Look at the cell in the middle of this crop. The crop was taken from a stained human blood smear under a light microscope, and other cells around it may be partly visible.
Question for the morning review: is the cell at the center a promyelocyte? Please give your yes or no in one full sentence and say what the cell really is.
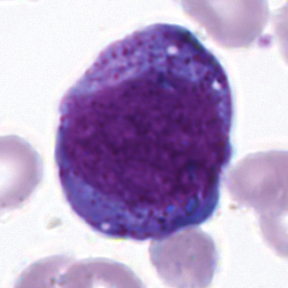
Yes, it is a promyelocyte that is seen at the centre of the crop.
